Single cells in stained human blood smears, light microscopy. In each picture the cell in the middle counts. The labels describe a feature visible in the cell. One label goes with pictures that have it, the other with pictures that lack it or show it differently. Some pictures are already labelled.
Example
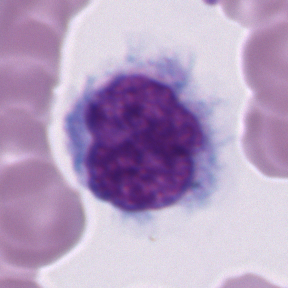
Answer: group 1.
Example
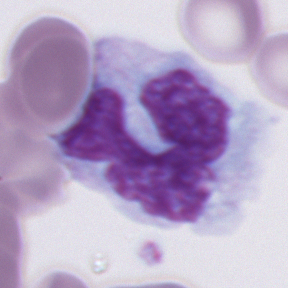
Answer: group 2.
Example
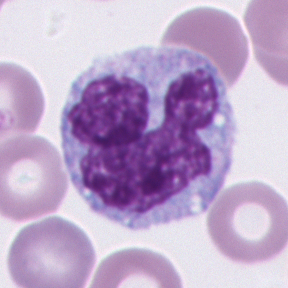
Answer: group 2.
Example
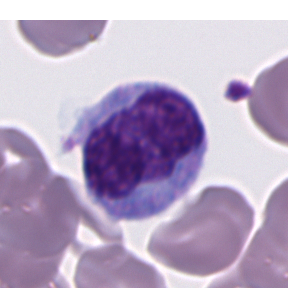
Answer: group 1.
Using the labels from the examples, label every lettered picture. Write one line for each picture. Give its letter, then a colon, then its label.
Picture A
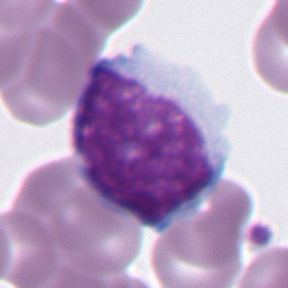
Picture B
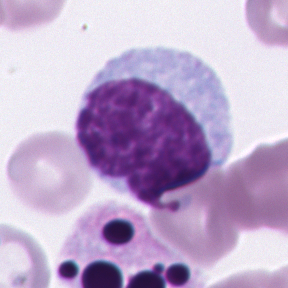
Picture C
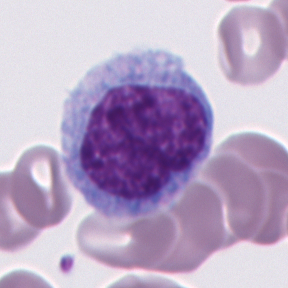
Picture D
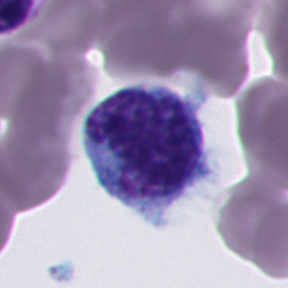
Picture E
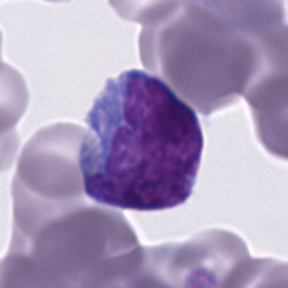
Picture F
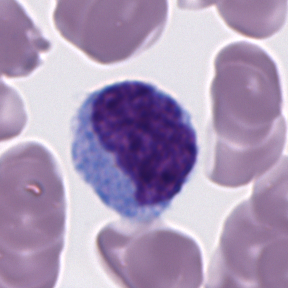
A: group 1.
B: group 1.
C: group 1.
D: group 1.
E: group 1.
F: group 1.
